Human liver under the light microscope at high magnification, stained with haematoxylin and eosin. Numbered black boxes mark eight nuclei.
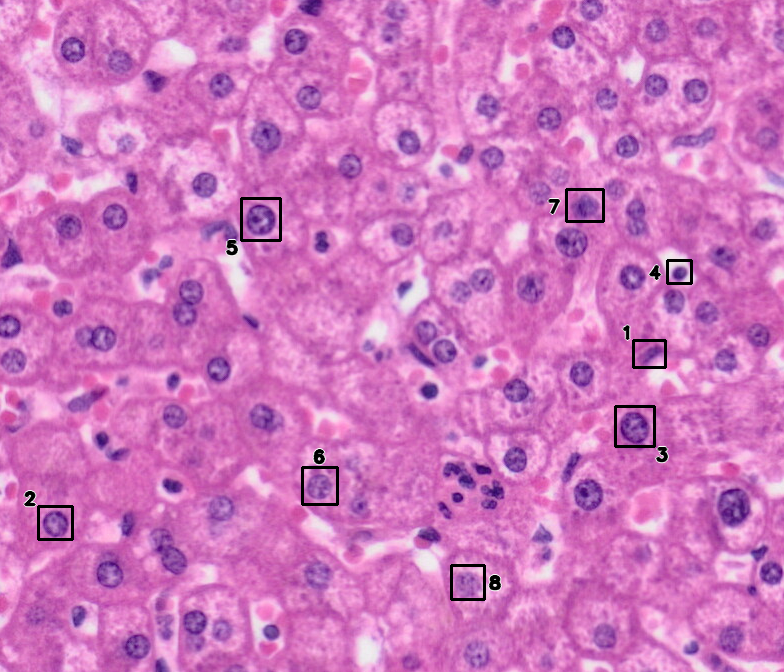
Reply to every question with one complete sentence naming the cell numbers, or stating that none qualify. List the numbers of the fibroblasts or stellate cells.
In short, the numbered cells 1 and 7 are fibroblasts or stellate cells.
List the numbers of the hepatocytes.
In terms of cell type, cells 2, 3, 5, 6 and 8 are hepatocytes.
